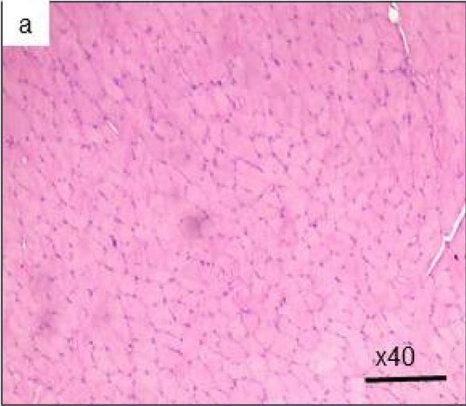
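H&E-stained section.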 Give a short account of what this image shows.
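Skeletal muscle cut in cross section fills the field as closely packed, polygonal fibers with pale pink cytoplasm. Small dark purple nuclei lie at the margins of the fibers rather than in their centers. The fibers are of fairly even size with thin spaces between them and no loose or cellular tissue intervening. This is the regular picture of muscle fibers with peripheral nuclei.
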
